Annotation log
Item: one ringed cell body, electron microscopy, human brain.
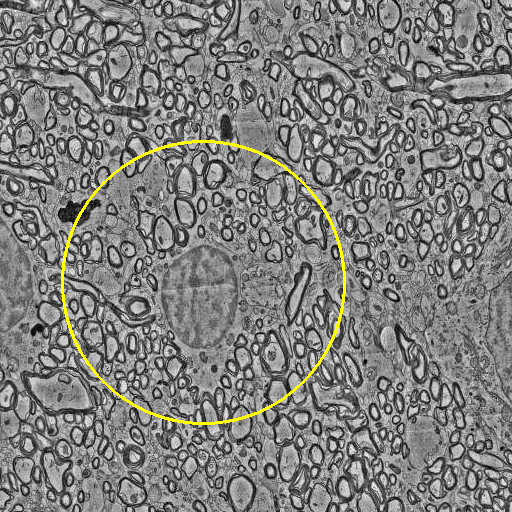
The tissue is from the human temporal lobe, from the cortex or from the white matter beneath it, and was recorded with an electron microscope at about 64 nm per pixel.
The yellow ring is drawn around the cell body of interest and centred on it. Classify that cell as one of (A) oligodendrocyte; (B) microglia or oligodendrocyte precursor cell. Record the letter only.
A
